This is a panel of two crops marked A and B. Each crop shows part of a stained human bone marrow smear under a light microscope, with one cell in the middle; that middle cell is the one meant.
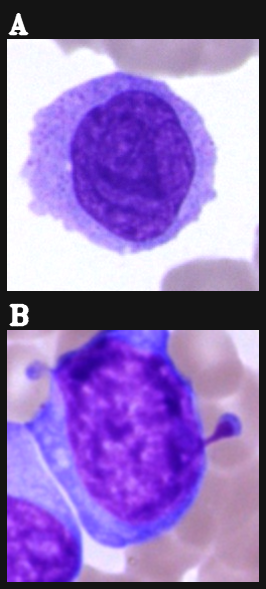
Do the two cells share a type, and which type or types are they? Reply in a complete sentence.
No, crop A shows a monocyte, and it is crop B that shows a blast.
